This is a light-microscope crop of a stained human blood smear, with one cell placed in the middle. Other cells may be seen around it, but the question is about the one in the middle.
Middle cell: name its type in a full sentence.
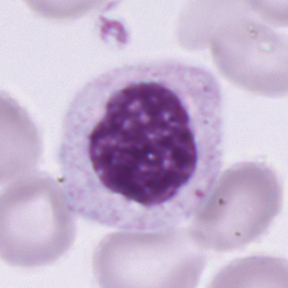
In this smear crop, the middle cell is a metamyelocyte.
